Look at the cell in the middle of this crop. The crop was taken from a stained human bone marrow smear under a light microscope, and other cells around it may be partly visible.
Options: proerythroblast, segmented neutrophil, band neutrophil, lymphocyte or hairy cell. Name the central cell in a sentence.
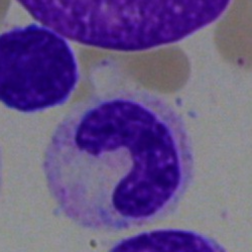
At the crop's centre, the cell is a band neutrophil.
